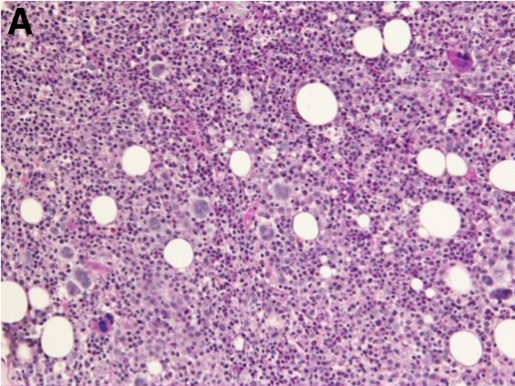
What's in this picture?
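This is a densely cellular bone marrow in which the blood-forming cells crowd out almost all the fat, leaving only scattered round empty fat spaces. The overall picture is of a marrow packed with cells rather than the usual mix of cells and fat.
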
